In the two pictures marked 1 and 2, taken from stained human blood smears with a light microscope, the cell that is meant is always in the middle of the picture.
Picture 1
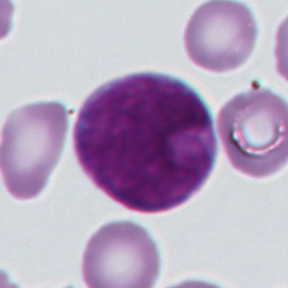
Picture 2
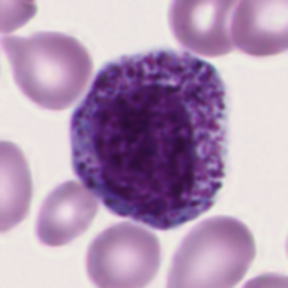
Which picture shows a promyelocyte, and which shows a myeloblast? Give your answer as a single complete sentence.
Picture 1 is of a myeloblast, and picture 2 is of a promyelocyte.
